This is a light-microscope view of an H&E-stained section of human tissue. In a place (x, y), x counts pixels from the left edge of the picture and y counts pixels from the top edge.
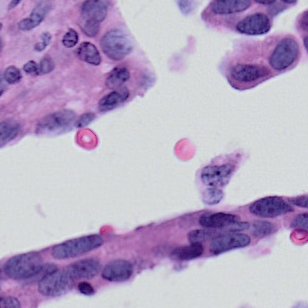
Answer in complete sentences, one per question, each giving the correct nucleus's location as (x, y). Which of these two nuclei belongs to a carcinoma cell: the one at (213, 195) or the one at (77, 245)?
The nucleus of a carcinoma cell lies at (77, 245), not at the other position.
